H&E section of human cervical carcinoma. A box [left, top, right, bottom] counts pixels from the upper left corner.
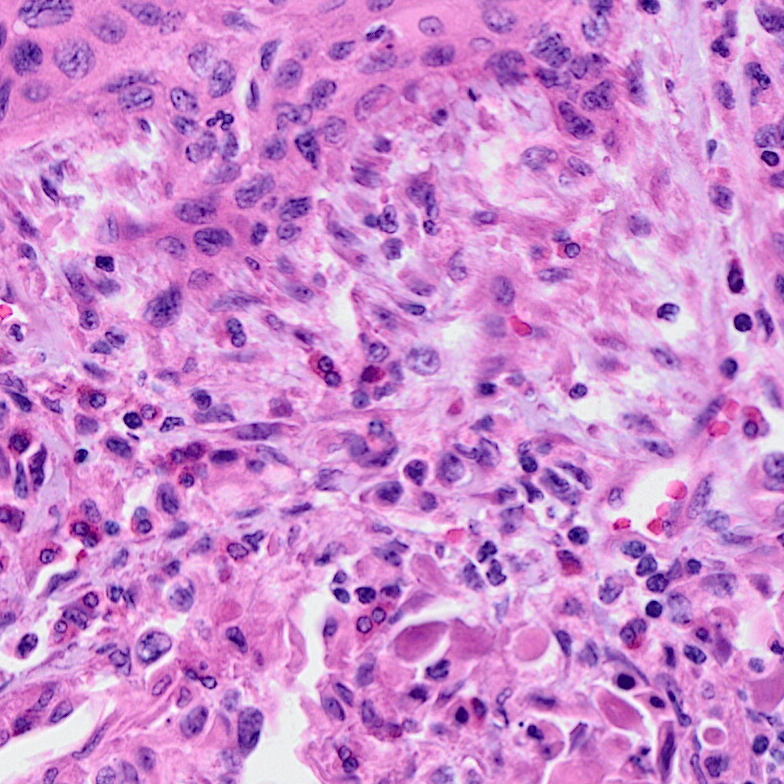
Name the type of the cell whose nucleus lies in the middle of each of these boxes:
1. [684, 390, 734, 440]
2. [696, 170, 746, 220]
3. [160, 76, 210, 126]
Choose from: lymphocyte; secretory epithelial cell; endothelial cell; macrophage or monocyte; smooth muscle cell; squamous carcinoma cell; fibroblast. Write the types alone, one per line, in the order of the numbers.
endothelial cell
macrophage or monocyte
squamous carcinoma cell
